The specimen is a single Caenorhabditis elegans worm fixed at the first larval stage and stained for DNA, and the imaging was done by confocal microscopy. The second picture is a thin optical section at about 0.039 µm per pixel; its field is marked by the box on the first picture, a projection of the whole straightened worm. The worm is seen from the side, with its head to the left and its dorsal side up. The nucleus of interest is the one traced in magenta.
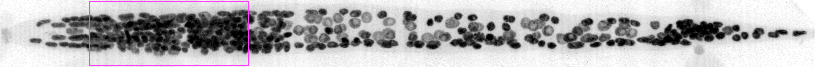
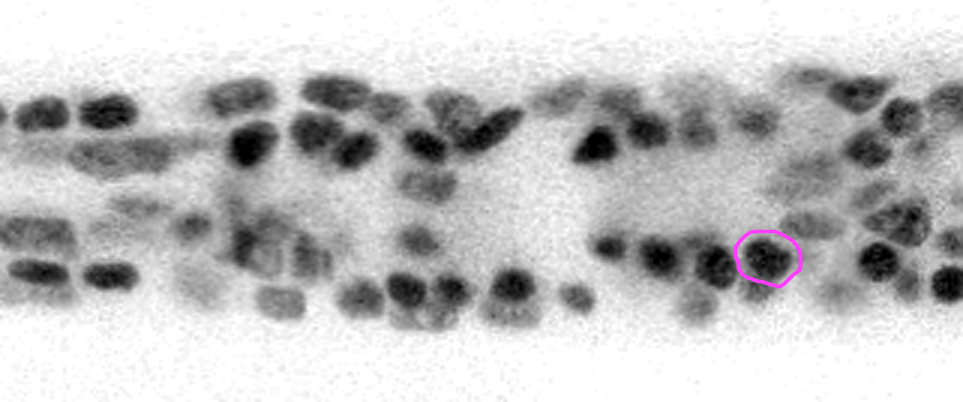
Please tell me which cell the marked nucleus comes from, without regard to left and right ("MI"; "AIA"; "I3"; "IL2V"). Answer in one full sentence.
This is the nucleus of AIA, a neuron.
